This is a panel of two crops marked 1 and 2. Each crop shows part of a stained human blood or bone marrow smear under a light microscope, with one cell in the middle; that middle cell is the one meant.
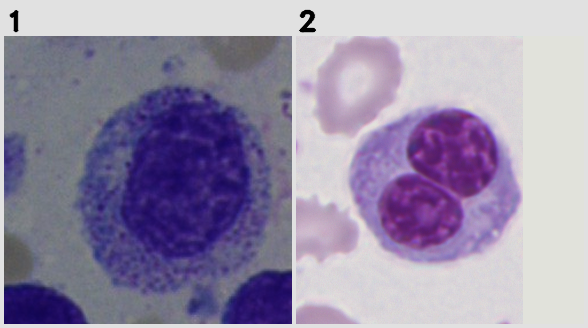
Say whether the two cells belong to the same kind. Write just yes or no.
no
